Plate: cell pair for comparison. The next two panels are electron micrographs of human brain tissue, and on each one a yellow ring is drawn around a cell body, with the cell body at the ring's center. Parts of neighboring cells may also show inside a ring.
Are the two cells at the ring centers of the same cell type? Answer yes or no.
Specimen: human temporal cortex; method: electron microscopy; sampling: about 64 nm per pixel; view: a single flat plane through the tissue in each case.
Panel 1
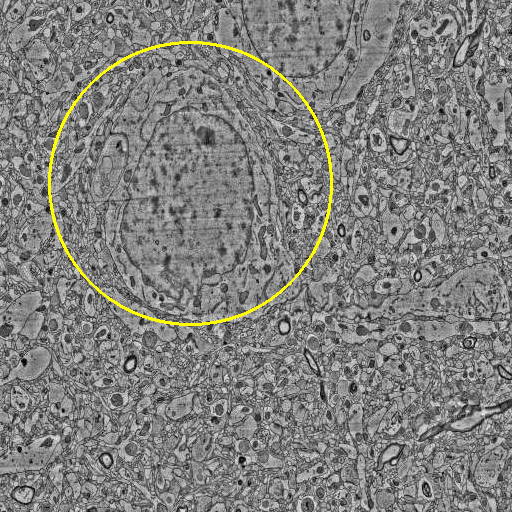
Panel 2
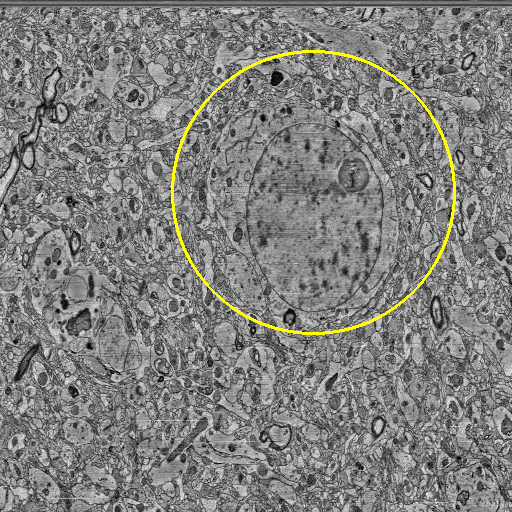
no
